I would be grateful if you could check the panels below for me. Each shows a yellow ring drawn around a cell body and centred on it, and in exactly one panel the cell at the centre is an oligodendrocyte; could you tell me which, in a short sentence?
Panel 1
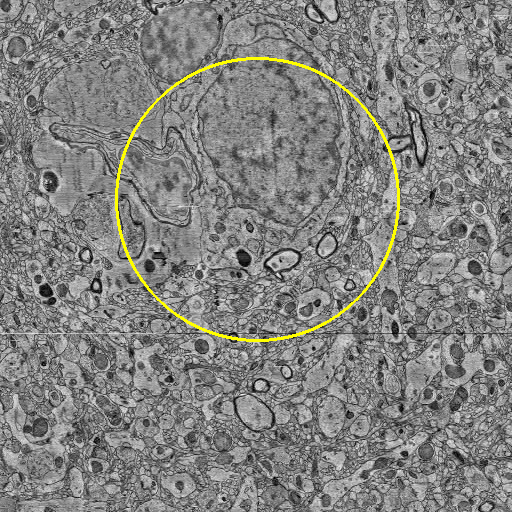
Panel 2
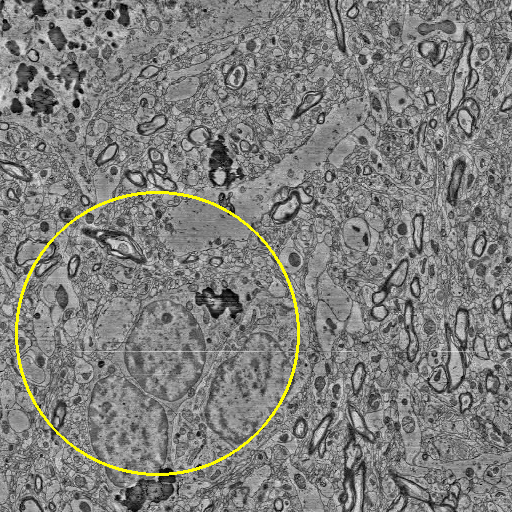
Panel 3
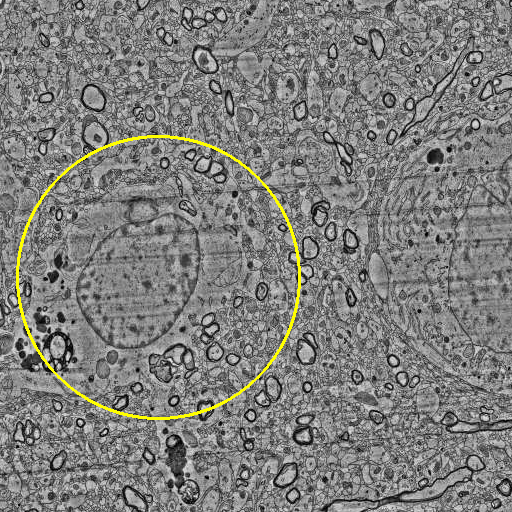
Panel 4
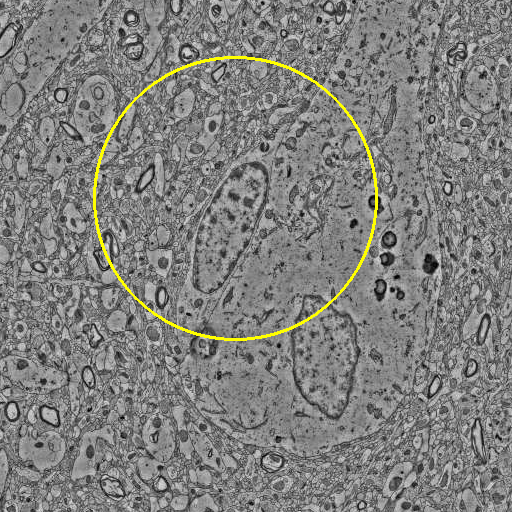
The ring in Panel 2 is centred on it.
